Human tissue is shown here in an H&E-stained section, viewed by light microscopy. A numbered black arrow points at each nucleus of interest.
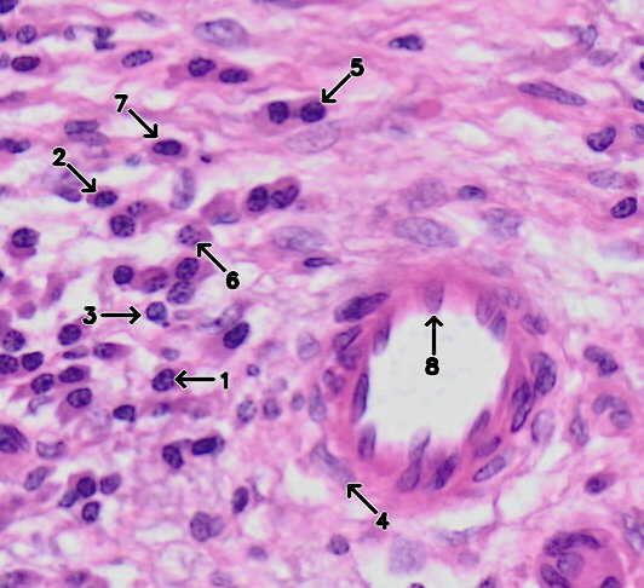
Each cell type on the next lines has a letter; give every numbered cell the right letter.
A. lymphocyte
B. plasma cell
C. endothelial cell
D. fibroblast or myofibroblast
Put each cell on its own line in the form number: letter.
1: B
2: B
3: A
4: D
5: B
6: B
7: B
8: C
